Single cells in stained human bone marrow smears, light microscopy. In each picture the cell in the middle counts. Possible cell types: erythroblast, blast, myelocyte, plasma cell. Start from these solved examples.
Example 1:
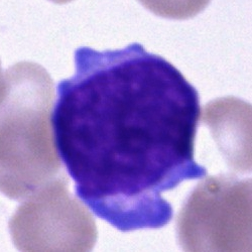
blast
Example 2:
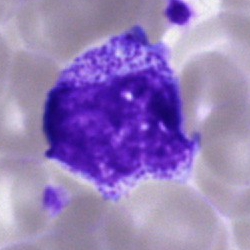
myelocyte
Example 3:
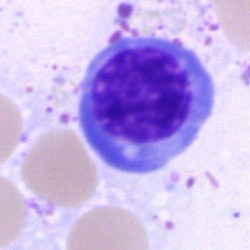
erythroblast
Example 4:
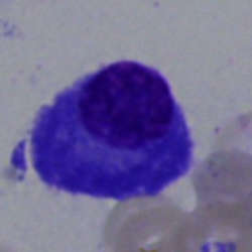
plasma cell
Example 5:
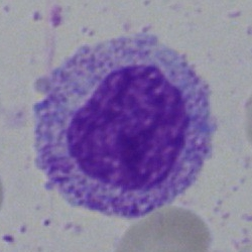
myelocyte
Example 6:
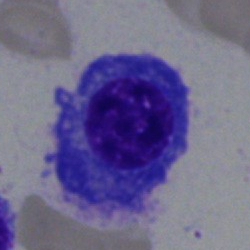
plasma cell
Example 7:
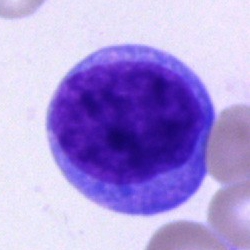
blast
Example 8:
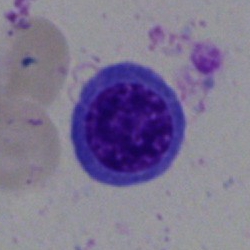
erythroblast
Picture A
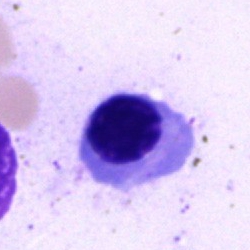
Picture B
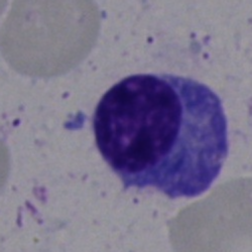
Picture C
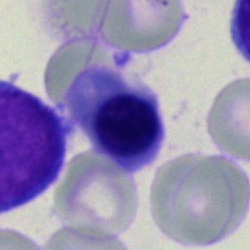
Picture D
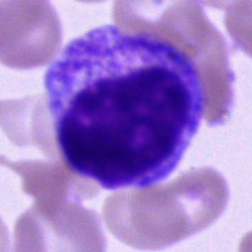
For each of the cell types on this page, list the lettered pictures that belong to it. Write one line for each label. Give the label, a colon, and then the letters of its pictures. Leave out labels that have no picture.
erythroblast: A, C
myelocyte: D
plasma cell: B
